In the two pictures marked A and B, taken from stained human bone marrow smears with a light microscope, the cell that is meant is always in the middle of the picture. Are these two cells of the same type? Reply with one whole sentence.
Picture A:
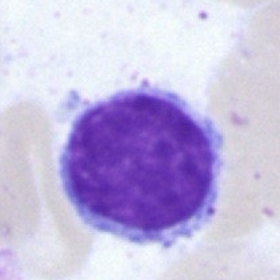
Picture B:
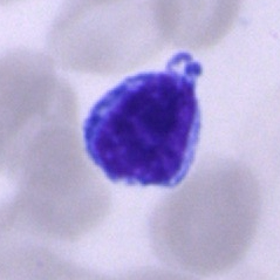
Yes, both are lymphocytes.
